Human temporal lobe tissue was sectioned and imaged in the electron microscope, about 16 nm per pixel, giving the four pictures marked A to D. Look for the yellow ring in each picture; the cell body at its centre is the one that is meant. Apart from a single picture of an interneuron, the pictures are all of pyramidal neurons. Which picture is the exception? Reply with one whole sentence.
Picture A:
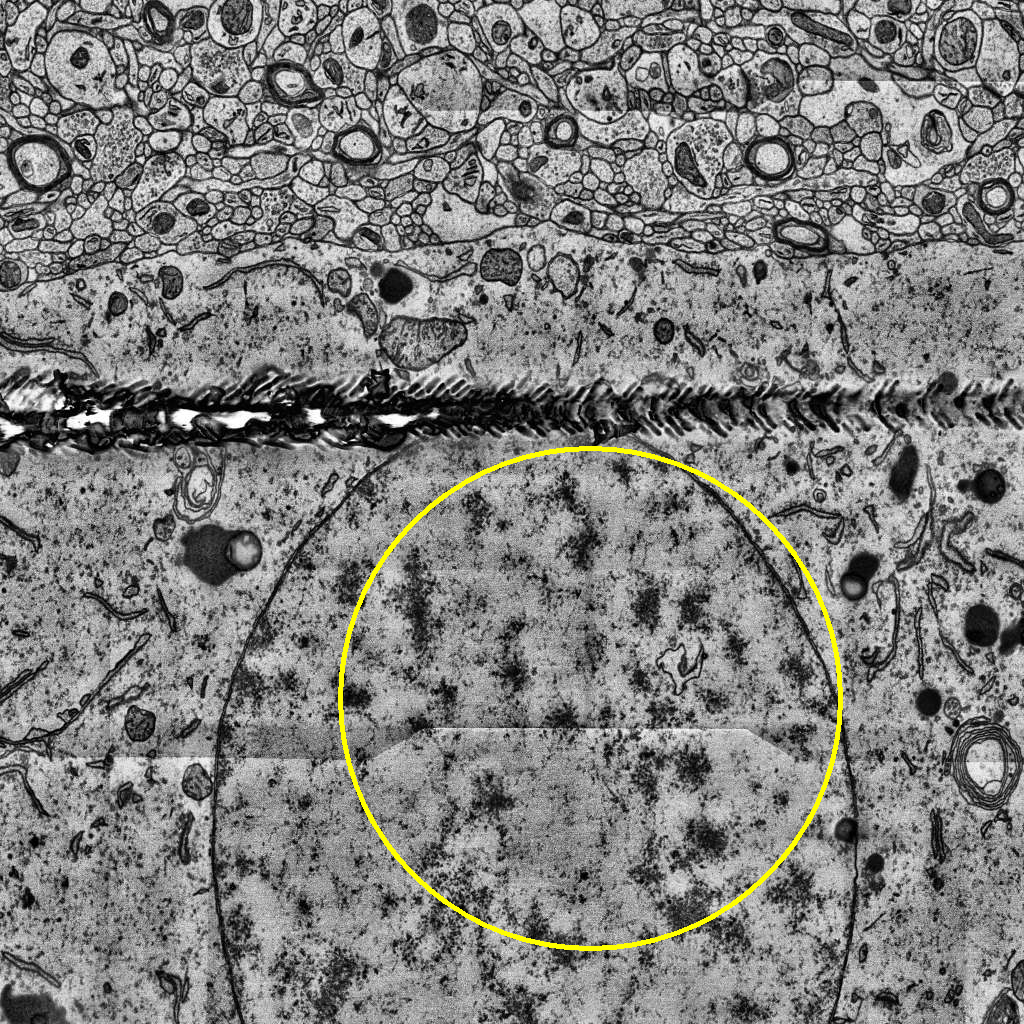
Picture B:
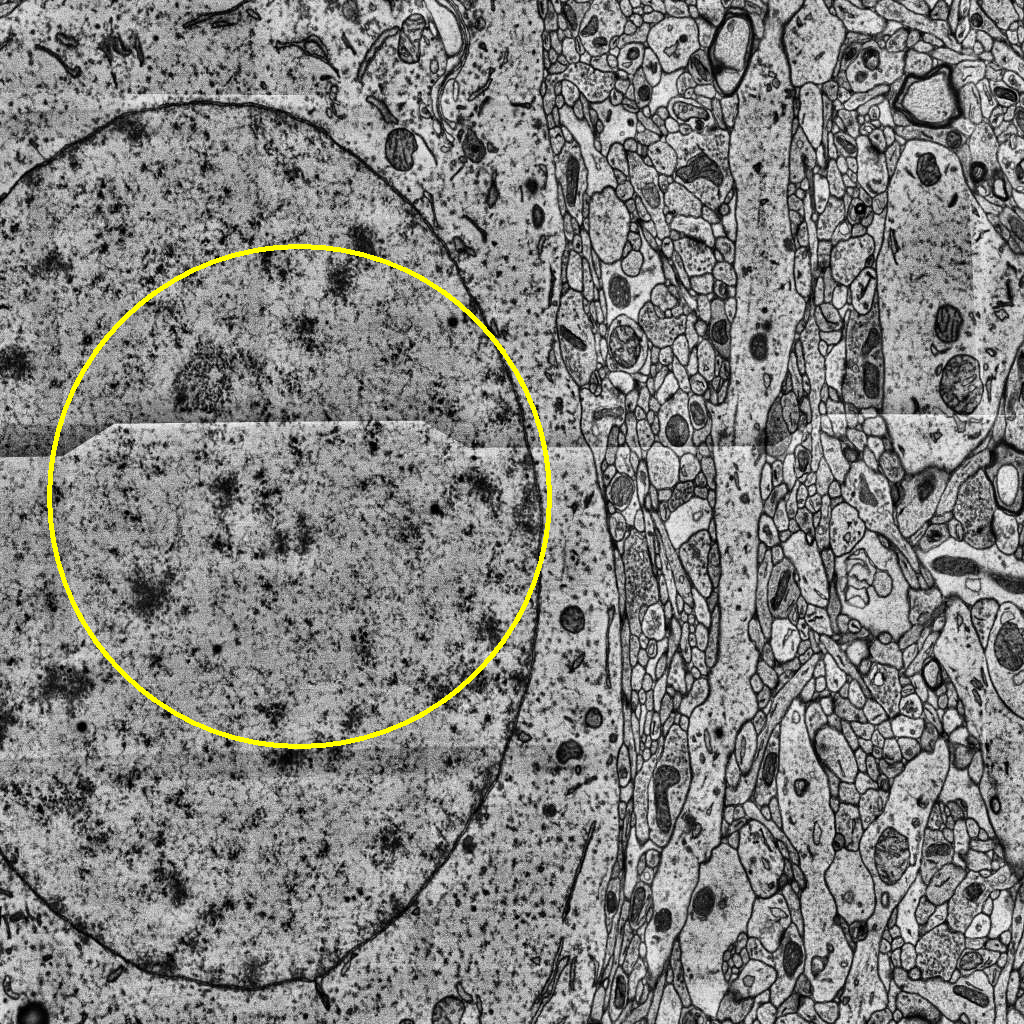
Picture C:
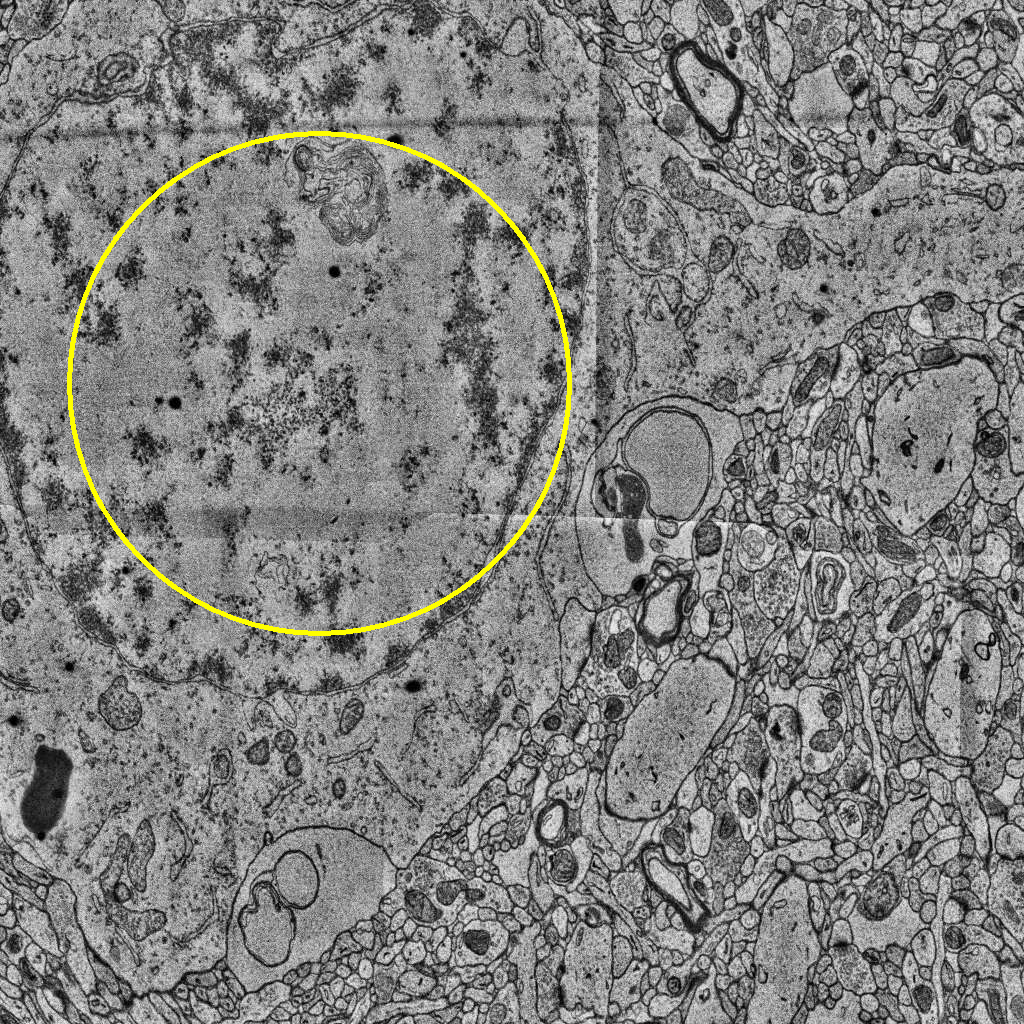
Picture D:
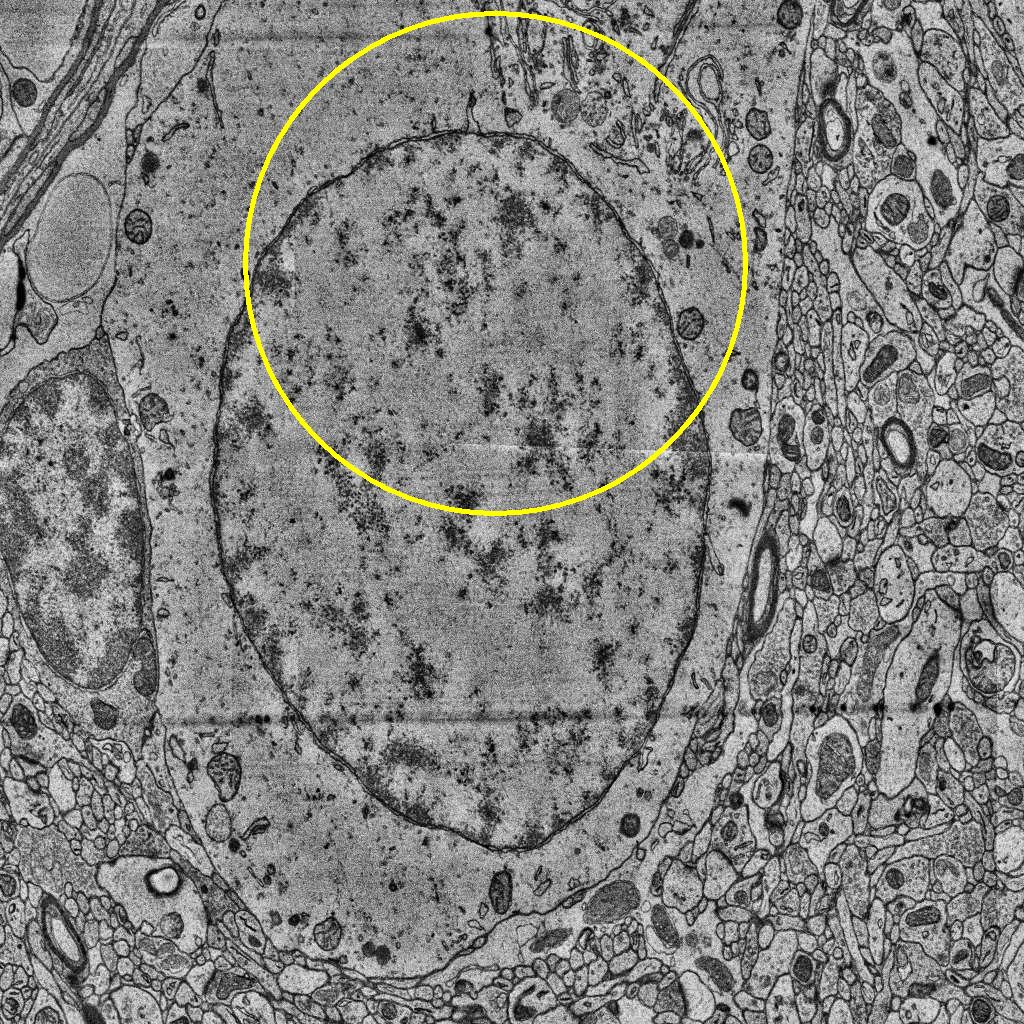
The interneuron is the one in picture C.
